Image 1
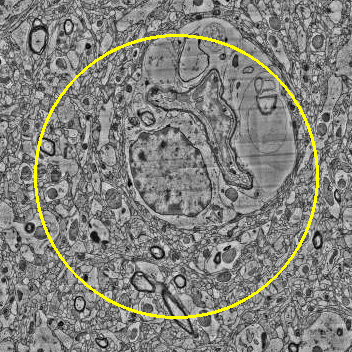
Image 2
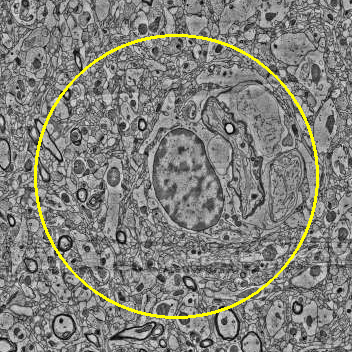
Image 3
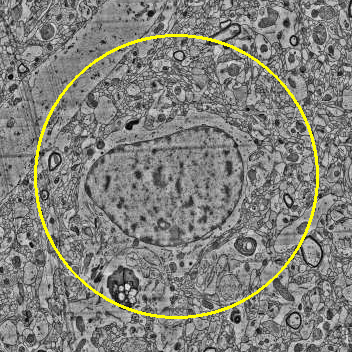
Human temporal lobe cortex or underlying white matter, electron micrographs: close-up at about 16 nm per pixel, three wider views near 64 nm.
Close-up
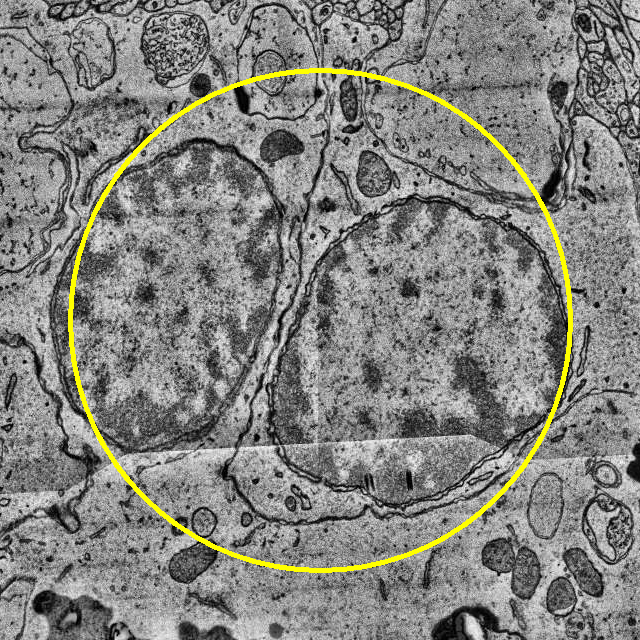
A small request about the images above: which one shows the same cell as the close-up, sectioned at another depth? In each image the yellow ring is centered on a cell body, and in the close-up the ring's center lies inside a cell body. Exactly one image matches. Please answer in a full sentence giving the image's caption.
The close-up focuses on the cell marked by the ring in Image 3.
